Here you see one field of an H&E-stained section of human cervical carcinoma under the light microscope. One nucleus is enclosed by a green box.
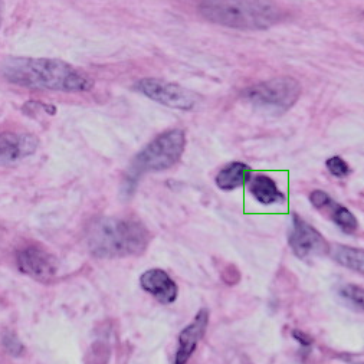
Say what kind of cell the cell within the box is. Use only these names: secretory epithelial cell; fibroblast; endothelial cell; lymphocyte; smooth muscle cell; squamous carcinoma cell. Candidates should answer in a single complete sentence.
Speaking plainly, the cell within the box is nothing other than a lymphocyte.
